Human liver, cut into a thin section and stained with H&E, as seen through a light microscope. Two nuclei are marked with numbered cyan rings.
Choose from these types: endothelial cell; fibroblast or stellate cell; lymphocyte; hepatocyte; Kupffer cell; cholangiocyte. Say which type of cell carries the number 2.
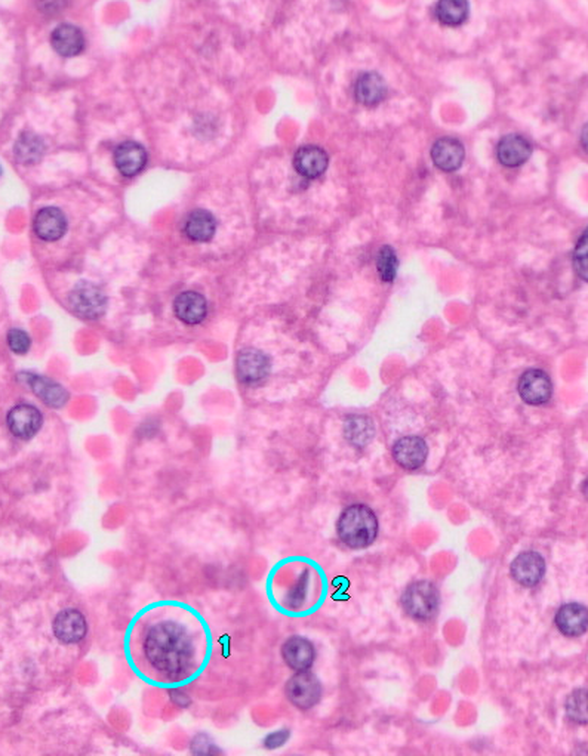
endothelial cell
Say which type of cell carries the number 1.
hepatocyte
